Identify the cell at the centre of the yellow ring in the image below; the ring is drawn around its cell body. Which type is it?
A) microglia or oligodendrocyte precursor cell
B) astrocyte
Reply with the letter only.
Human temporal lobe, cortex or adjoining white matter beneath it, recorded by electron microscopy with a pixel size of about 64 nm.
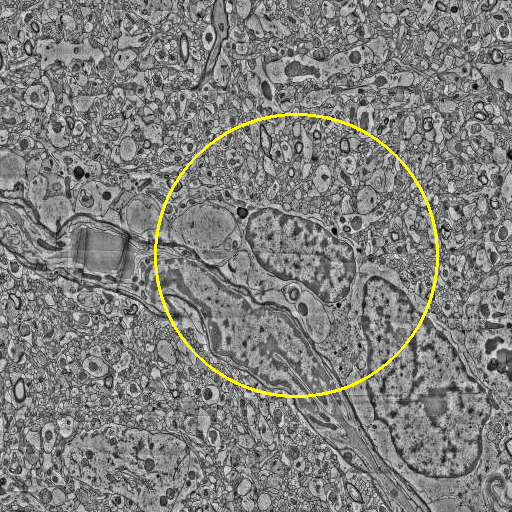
A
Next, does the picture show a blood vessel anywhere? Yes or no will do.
Yes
